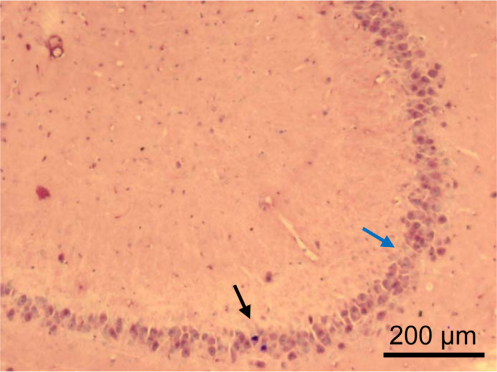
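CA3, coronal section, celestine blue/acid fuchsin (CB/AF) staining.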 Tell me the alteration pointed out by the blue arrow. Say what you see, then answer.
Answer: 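Cell-free gaps. Where the arrow points, the band of cell bodies is interrupted by a pale stretch without cells.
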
